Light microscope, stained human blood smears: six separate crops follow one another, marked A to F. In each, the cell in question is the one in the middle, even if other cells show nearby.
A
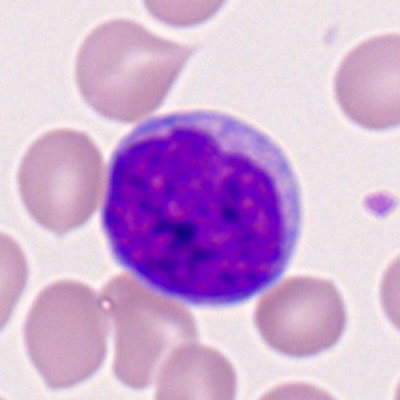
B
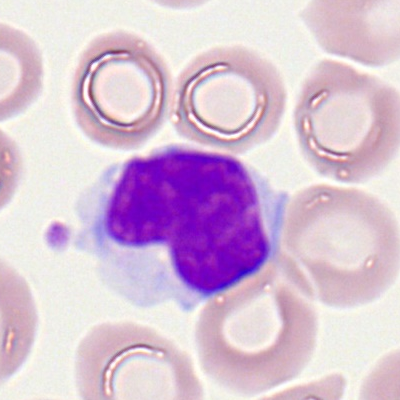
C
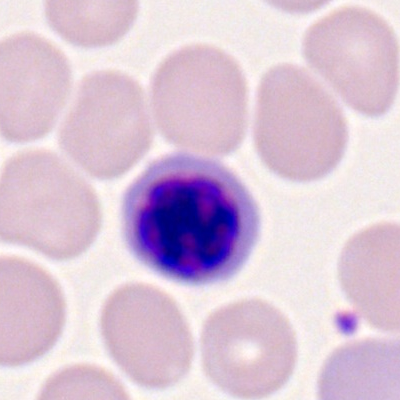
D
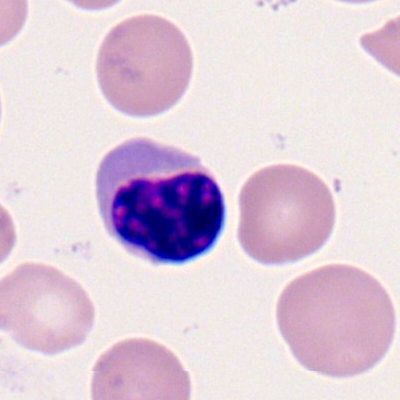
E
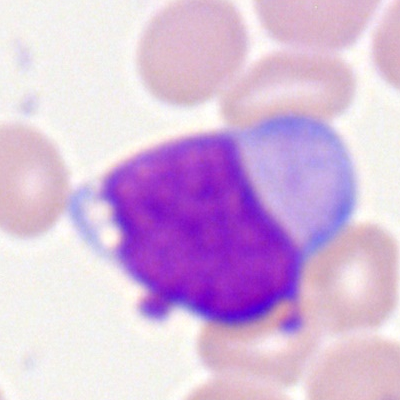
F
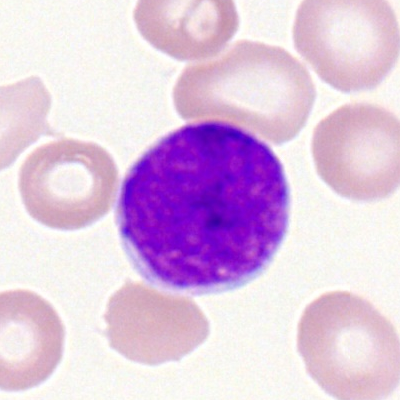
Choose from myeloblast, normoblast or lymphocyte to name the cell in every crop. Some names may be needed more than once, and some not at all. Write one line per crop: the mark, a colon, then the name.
A: myeloblast
B: lymphocyte
C: normoblast
D: normoblast
E: myeloblast
F: myeloblast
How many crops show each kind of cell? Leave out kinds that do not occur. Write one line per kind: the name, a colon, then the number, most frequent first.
myeloblast: 3
normoblast: 2
lymphocyte: 1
